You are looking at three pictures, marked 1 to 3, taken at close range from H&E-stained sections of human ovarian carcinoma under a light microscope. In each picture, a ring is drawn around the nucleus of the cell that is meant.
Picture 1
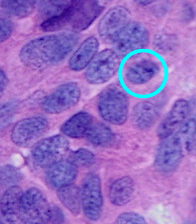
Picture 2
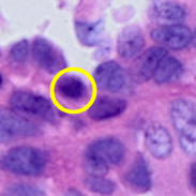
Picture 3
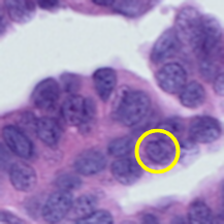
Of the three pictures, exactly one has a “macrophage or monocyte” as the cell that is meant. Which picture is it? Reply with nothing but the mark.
1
